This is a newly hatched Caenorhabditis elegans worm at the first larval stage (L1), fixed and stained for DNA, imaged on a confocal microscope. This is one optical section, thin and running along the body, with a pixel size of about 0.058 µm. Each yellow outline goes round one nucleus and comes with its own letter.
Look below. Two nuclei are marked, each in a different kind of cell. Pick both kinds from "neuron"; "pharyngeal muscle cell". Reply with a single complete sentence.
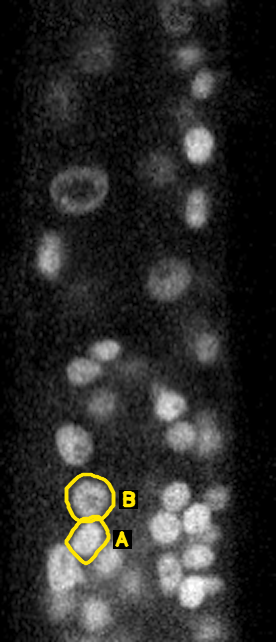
B belongs to a pharyngeal muscle cell, and A to a neuron.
